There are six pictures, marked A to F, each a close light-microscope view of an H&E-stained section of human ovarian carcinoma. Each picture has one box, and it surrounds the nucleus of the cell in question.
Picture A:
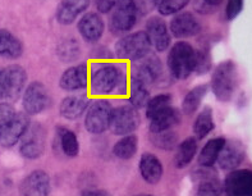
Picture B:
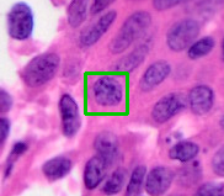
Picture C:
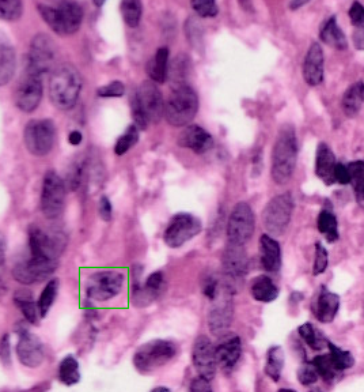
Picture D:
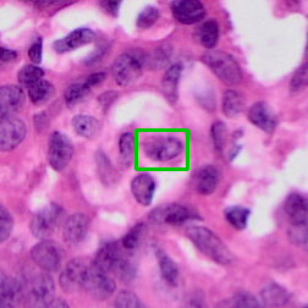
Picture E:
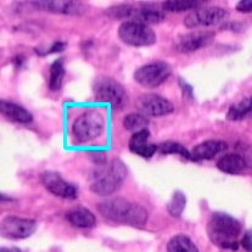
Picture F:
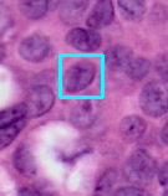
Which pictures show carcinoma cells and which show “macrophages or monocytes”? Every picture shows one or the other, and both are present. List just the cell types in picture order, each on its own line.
carcinoma cell
macrophage or monocyte
macrophage or monocyte
macrophage or monocyte
macrophage or monocyte
carcinoma cell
